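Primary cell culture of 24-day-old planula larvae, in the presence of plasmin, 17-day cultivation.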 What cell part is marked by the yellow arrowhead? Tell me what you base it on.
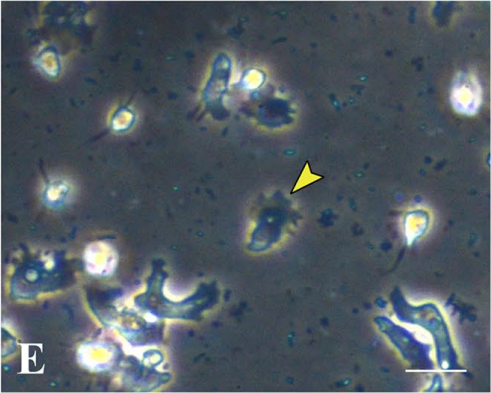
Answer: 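The marked cell is dark and flattened. The answer: lamellipodia.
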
